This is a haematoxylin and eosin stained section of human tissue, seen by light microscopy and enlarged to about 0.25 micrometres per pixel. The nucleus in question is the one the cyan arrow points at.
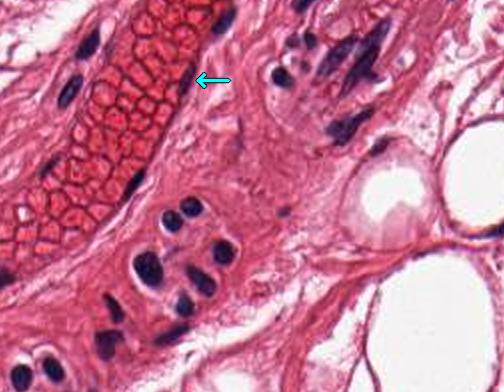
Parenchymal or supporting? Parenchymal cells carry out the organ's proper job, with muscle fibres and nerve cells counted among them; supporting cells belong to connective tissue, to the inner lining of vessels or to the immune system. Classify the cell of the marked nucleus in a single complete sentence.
The marked nucleus is seen within a supporting cell.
